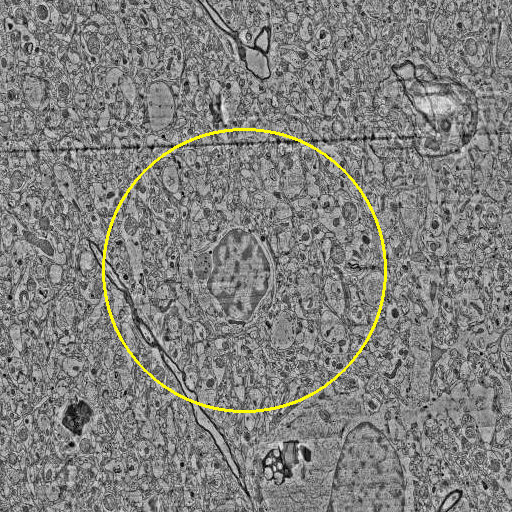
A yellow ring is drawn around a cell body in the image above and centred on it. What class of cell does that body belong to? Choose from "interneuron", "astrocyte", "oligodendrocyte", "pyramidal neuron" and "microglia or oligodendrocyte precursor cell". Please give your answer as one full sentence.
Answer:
The yellow ring above is centred on the cell body of a microglial cell or oligodendrocyte precursor cell.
